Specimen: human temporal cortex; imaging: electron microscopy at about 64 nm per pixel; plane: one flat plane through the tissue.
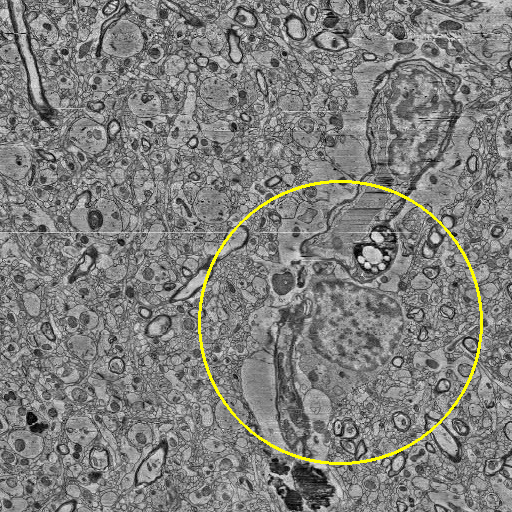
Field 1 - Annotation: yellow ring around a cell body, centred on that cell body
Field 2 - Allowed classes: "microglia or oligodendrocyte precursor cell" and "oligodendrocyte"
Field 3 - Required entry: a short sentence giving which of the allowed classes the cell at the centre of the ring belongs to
The centred cell is an oligodendrocyte.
